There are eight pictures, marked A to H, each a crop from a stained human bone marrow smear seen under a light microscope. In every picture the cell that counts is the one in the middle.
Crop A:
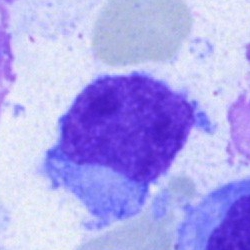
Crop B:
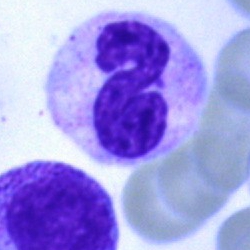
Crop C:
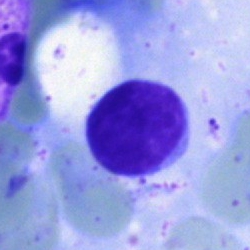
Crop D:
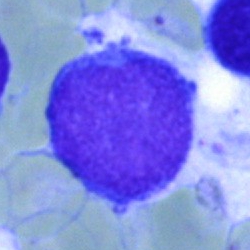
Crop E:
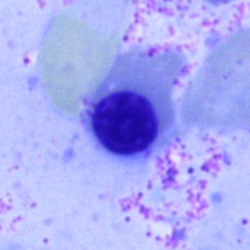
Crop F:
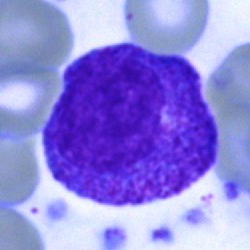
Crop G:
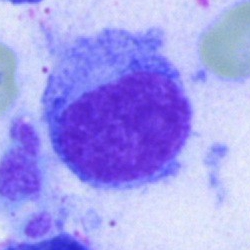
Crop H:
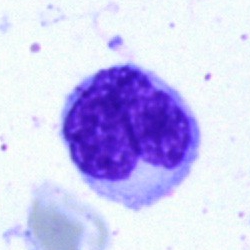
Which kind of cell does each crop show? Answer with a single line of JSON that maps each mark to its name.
{"A": "hairy cell", "B": "segmented neutrophil", "C": "lymphocyte", "D": "blast", "E": "erythroblast", "F": "promyelocyte", "G": "hairy cell", "H": "monocyte"}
